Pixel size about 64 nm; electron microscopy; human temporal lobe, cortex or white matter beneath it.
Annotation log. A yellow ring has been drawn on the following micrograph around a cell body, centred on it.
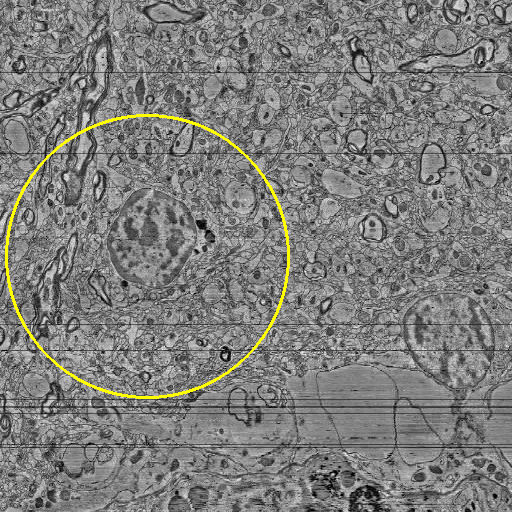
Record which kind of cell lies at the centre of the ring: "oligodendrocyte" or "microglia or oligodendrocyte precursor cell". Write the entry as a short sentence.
The cell the ring is centred on is a microglial cell or oligodendrocyte precursor cell.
